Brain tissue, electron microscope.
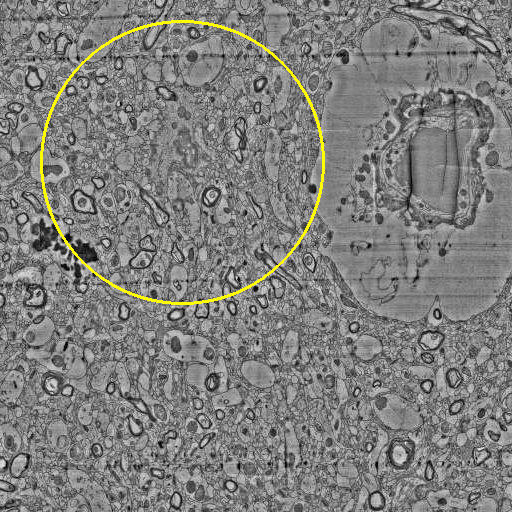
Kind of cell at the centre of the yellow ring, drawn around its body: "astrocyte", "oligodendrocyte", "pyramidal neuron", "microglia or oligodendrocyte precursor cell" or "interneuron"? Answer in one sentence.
The ring's centre falls on an oligodendrocyte.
